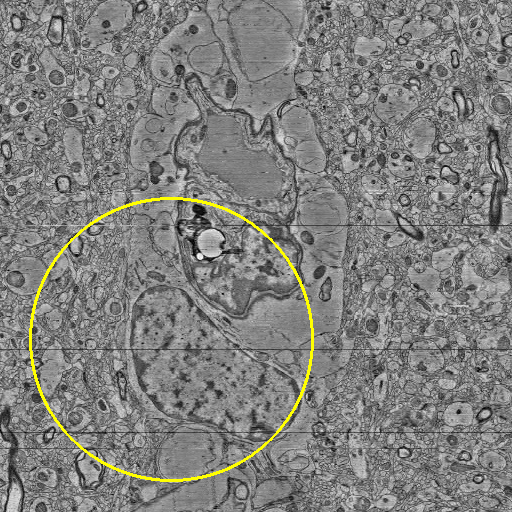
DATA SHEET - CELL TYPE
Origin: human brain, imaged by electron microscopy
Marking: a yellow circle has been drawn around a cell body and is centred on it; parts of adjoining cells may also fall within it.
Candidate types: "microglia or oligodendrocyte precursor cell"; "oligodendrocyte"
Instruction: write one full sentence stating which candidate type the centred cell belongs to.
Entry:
The cell body at the centre of the yellow ring in this micrograph belongs to a microglial cell or oligodendrocyte precursor cell.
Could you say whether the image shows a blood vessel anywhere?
Yes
